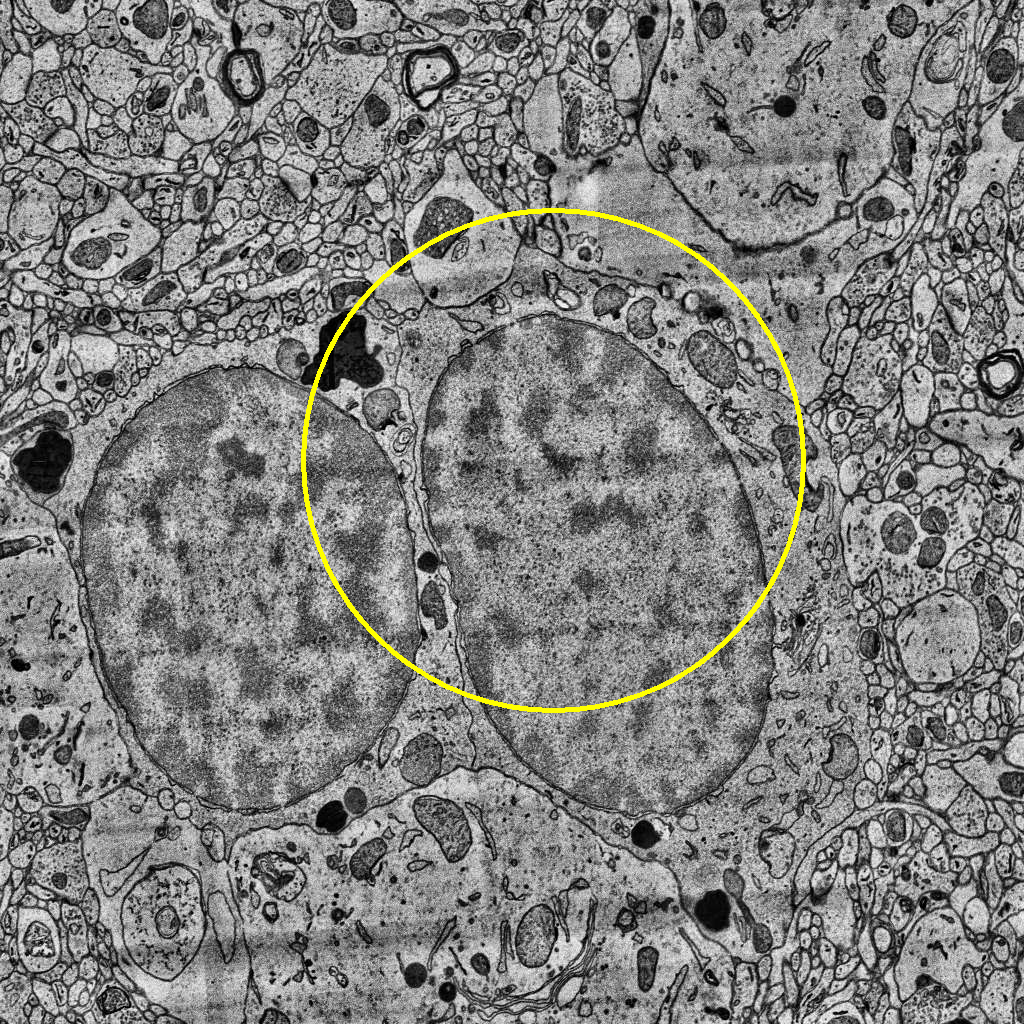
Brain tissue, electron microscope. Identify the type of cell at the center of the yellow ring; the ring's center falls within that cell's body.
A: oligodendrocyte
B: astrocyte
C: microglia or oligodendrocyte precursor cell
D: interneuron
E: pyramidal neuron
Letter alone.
A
